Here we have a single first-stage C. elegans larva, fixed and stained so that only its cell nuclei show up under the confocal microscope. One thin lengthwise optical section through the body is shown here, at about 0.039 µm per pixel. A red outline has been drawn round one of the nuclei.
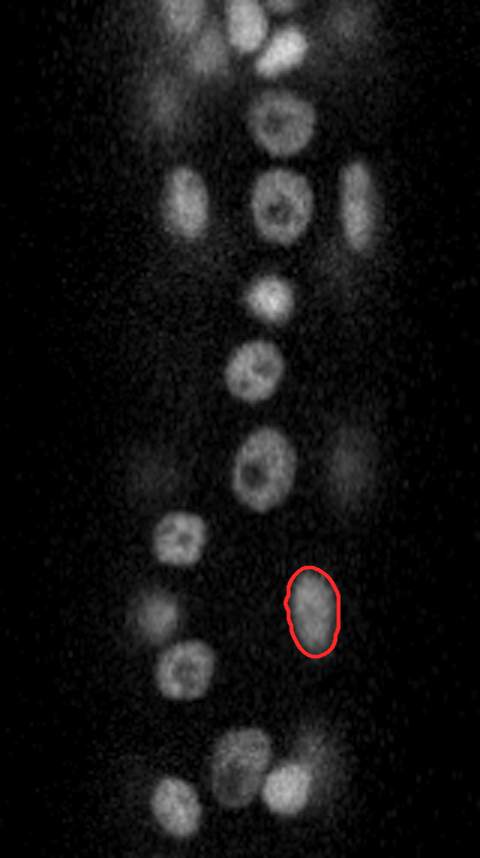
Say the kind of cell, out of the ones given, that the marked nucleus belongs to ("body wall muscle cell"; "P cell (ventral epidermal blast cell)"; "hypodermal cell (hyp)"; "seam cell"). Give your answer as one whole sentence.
What is marked is the nucleus of a body wall muscle cell.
